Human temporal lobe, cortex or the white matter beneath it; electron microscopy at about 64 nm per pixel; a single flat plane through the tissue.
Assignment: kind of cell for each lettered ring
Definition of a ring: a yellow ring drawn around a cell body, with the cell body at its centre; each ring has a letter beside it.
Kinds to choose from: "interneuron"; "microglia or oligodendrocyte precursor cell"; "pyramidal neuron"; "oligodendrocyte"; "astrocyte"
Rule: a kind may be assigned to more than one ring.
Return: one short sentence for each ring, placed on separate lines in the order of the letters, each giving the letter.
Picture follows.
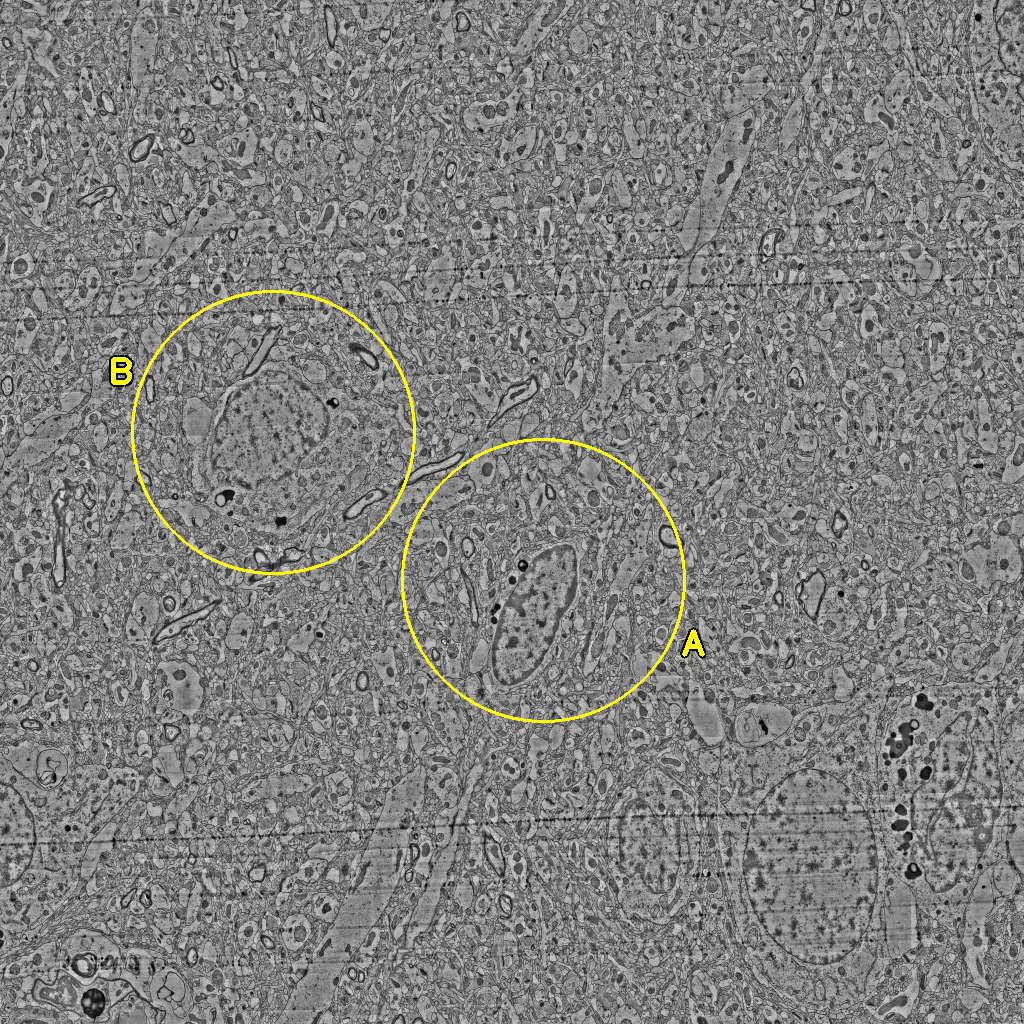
The ring marked A is centred on a microglial cell or oligodendrocyte precursor cell.
The ring marked B is centred on an interneuron.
